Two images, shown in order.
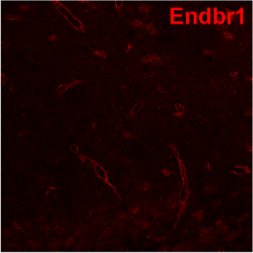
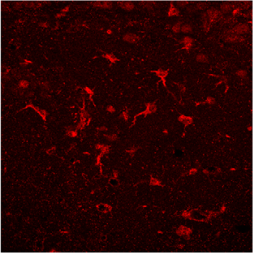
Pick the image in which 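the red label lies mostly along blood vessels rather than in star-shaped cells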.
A: the first image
